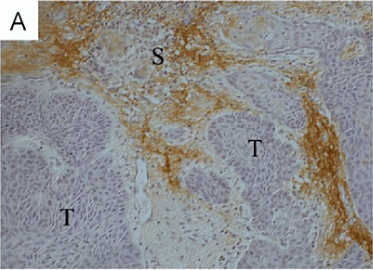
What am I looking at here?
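The nests are made of closely packed epithelial cells with blue-purple nuclei and pale cytoplasm, and they stay largely free of brown. The brown stain gathers in the looser stromal tissue that winds between and around the nests, most heavily along their edges.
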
